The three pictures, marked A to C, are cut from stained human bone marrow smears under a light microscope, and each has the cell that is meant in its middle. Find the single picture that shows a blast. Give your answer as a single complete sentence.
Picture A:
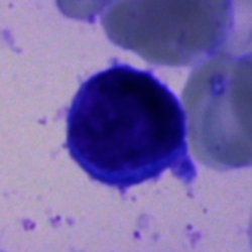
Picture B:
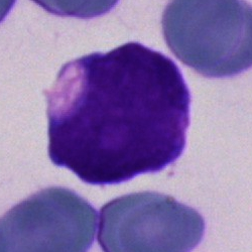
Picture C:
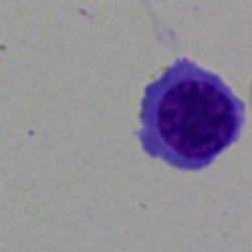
Picture B shows the blast.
